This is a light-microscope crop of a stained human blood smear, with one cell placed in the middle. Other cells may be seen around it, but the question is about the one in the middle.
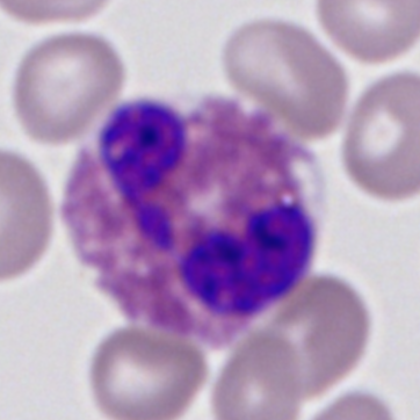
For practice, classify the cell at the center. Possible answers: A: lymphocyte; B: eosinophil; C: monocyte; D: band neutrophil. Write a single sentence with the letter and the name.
Given that the cell in the middle is an eosinophil, option B is correct.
